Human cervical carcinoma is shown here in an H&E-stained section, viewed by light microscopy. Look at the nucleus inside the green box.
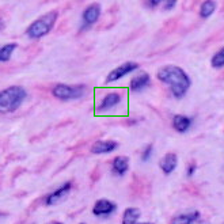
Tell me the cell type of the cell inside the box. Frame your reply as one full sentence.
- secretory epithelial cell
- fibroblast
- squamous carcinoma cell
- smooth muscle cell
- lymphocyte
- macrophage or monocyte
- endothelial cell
The expected answer is simply that the cell inside the box is a smooth muscle cell.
